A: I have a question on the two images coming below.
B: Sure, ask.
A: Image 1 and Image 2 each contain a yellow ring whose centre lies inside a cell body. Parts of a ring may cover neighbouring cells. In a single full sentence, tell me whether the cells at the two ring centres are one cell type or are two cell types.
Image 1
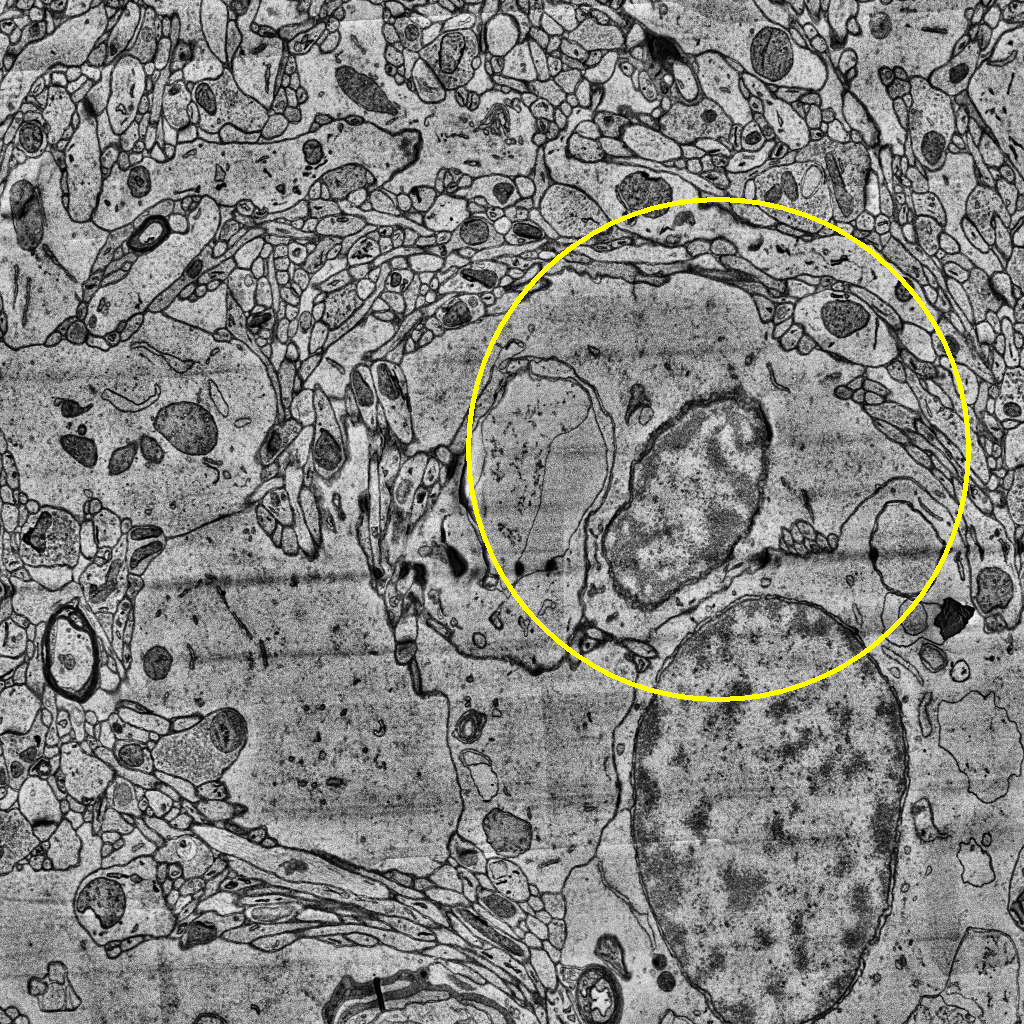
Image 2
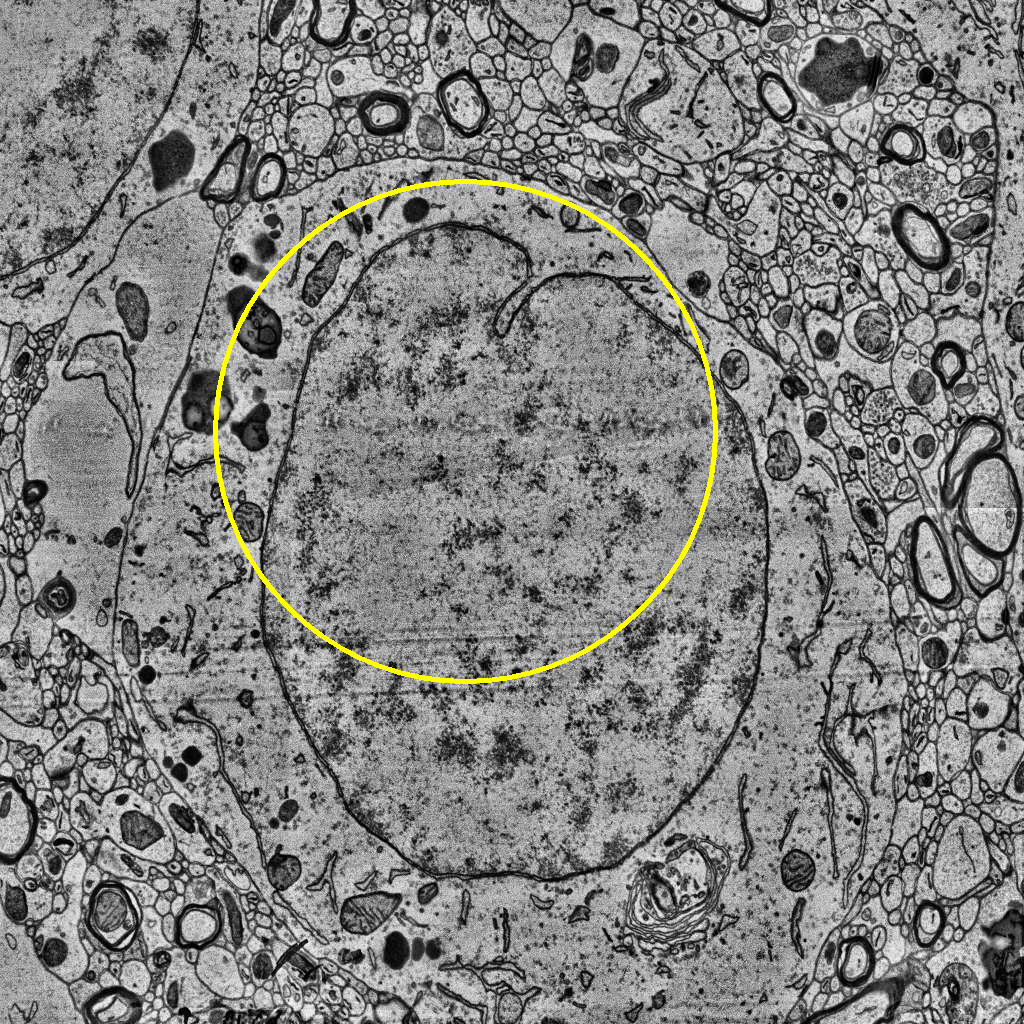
As for the ring-centre cells, the one in Image 1 and the one in Image 2 are two cell types.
